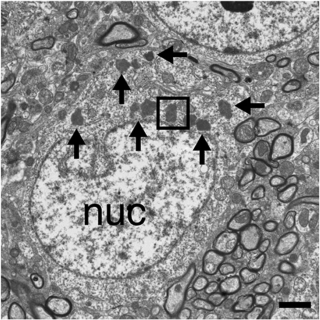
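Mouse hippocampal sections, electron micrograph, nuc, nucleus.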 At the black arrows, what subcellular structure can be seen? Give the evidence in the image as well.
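The arrows point to dense, grey-dark bodies in the perinuclear cytoplasm. Several such bodies lie clustered above the nucleus.
Hence: lysosomes.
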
